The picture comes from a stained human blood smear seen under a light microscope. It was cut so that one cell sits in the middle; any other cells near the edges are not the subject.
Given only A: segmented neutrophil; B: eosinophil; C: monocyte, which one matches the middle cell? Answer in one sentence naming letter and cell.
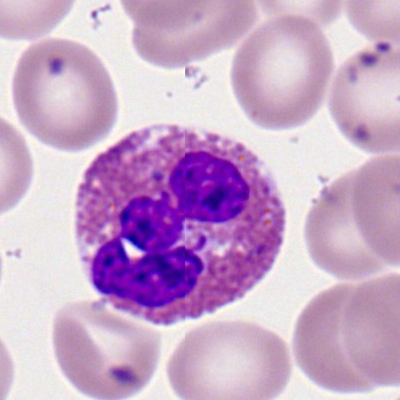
The central cell of the crop is an eosinophil, which makes B the correct option.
